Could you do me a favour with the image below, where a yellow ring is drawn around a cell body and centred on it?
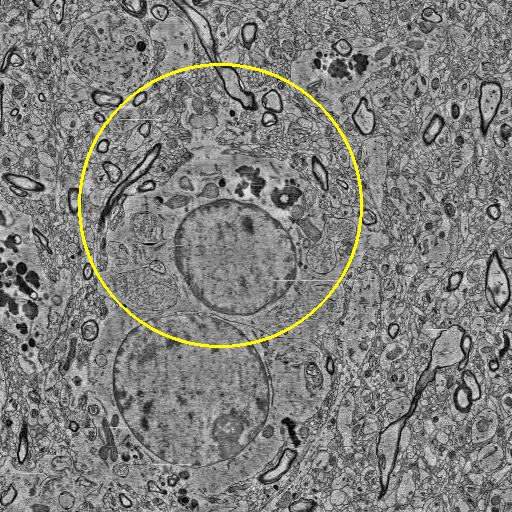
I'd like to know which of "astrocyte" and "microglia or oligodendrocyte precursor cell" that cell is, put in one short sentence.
The cell at the ring's centre is an astrocyte.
